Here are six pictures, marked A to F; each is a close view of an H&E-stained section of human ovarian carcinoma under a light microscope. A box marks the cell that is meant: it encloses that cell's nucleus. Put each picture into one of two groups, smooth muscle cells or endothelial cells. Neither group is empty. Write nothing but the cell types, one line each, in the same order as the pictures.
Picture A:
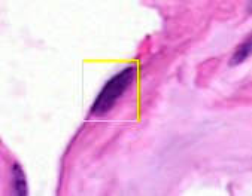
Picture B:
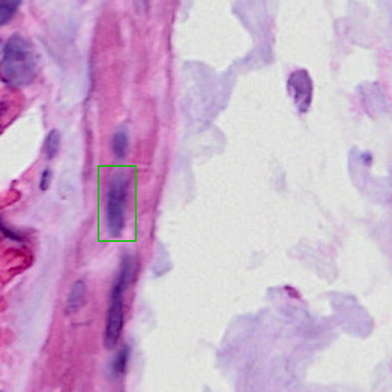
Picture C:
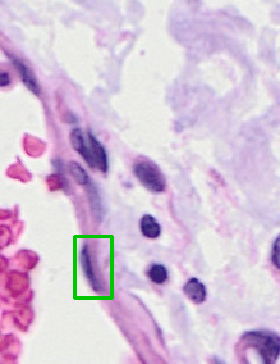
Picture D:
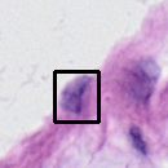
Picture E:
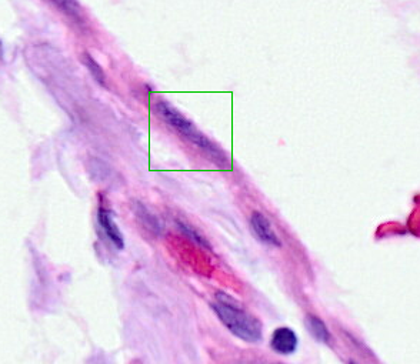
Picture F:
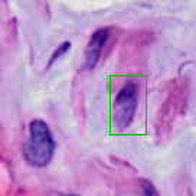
endothelial cell
smooth muscle cell
endothelial cell
endothelial cell
endothelial cell
smooth muscle cell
